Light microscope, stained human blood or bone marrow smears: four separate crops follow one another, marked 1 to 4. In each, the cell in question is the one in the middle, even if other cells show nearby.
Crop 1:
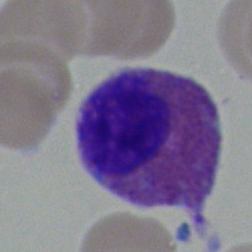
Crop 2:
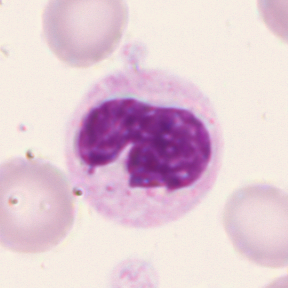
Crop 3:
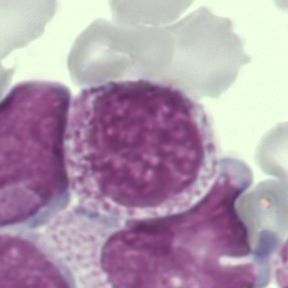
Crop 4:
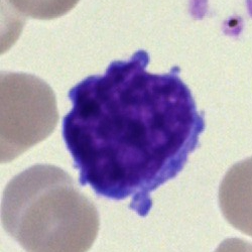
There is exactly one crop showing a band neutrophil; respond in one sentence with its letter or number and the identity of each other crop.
It is a band neutrophil that crop 2 shows, while crop 1 is an eosinophil, crop 3 is a myelocyte and crop 4 is a blast.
